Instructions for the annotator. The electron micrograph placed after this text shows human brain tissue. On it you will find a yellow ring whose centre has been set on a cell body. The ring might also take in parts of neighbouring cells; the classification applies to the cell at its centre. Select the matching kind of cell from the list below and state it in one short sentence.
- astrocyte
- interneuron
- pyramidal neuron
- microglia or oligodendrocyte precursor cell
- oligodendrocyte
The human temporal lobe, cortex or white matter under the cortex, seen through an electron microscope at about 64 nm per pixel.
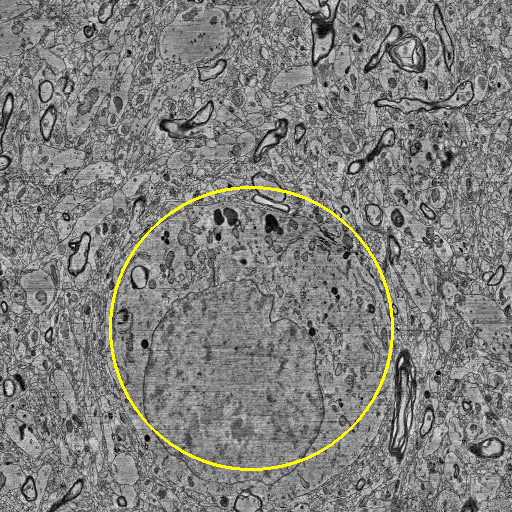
The ring is drawn on the cell body of a pyramidal neuron.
